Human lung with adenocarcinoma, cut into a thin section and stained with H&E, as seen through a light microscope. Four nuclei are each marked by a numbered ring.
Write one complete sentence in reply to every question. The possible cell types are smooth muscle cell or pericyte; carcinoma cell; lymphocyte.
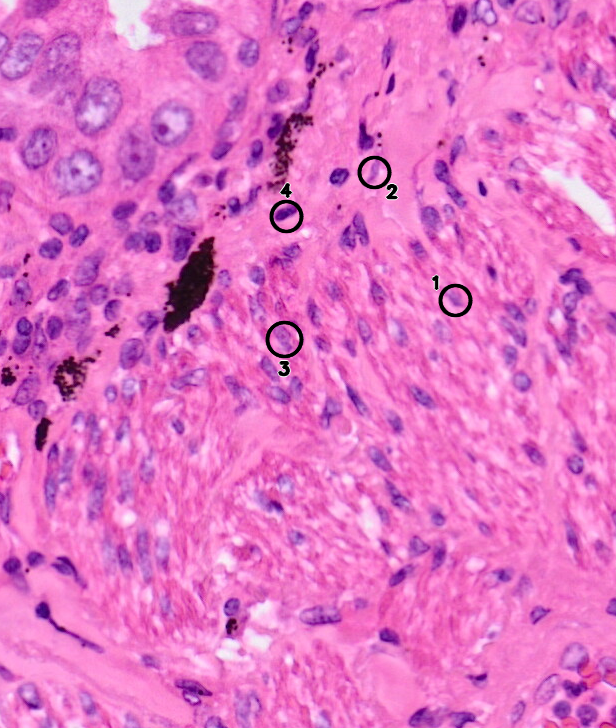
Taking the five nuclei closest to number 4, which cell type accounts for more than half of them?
Smooth muscle cells or pericytes make up most of the five nuclei closest to number 4.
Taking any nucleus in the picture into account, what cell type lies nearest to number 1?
Closest to number 1 lies the nucleus of a smooth muscle cell or pericyte.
